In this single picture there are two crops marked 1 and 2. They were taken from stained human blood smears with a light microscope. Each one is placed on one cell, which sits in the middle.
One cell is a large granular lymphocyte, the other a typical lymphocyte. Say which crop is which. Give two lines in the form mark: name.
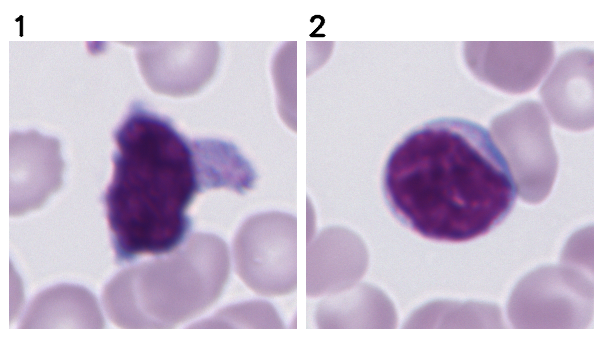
1: typical lymphocyte
2: large granular lymphocyte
